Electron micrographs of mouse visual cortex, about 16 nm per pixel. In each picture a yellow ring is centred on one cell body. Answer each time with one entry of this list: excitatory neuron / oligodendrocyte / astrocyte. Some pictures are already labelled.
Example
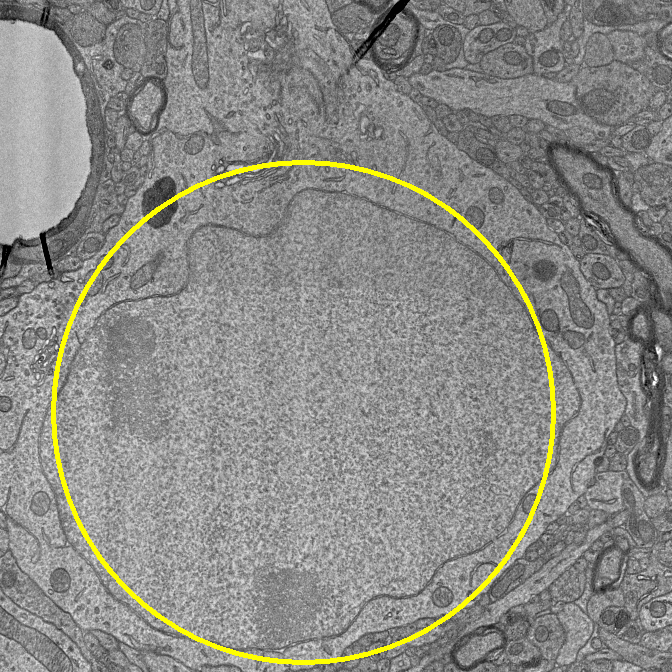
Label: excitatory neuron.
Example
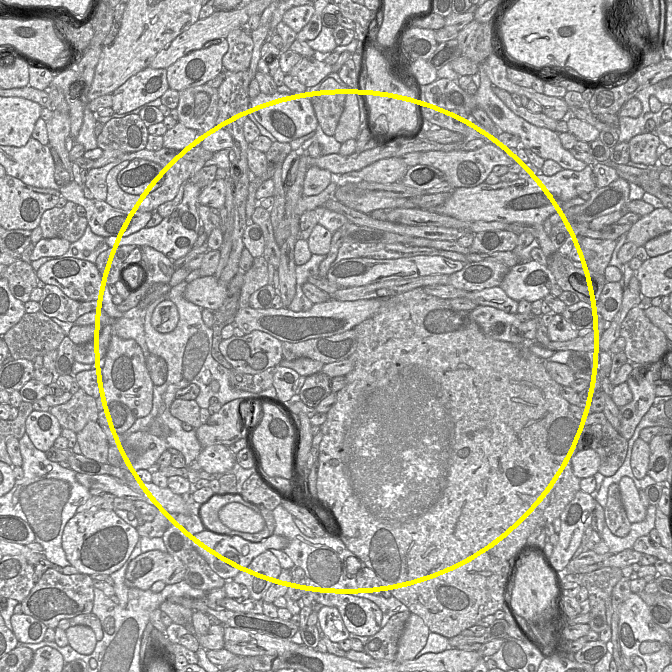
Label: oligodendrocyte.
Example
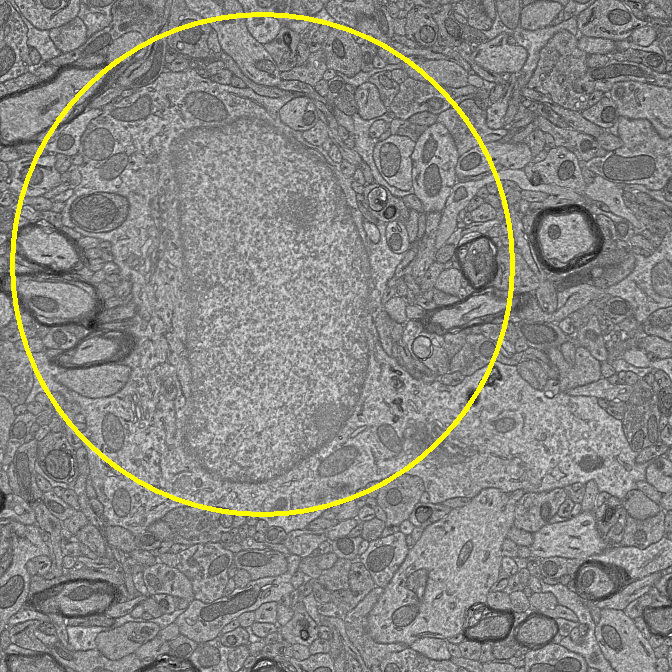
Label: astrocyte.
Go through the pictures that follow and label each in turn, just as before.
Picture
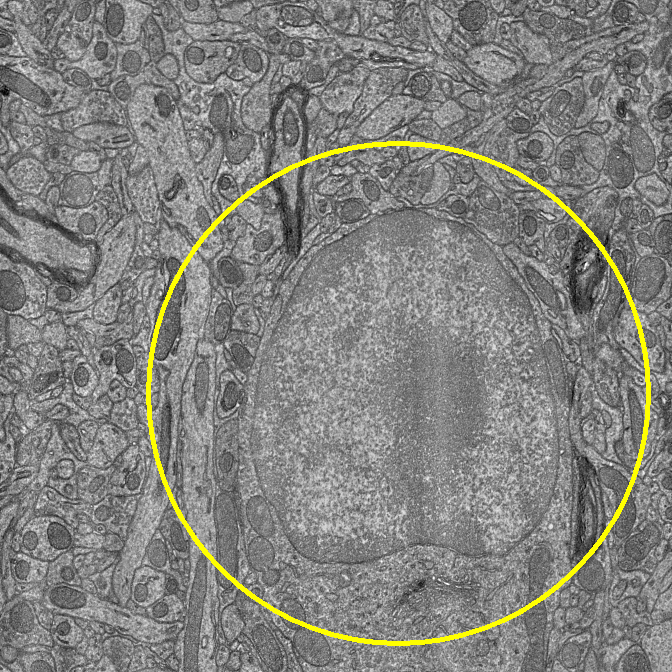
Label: oligodendrocyte.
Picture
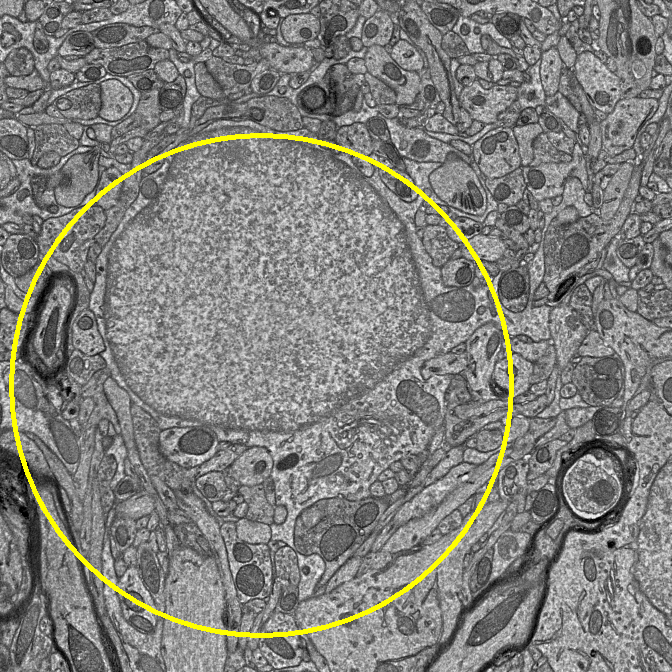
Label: astrocyte.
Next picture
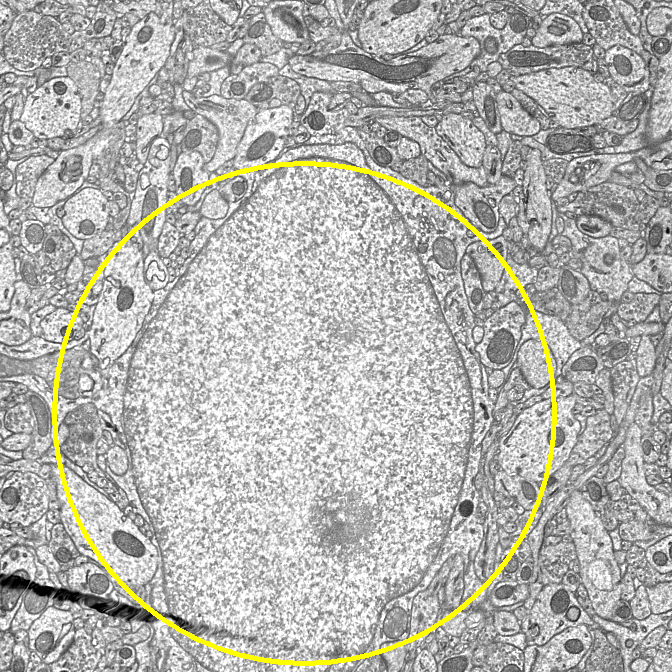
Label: astrocyte.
